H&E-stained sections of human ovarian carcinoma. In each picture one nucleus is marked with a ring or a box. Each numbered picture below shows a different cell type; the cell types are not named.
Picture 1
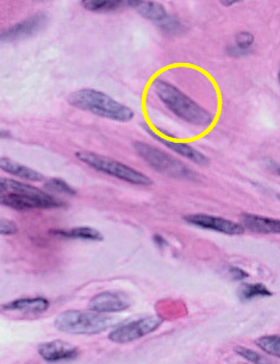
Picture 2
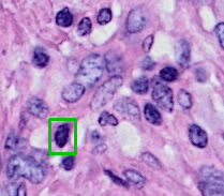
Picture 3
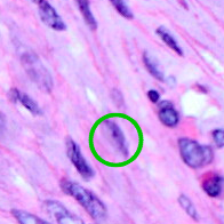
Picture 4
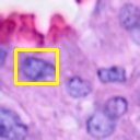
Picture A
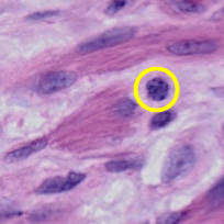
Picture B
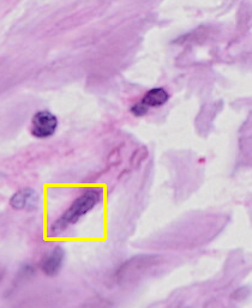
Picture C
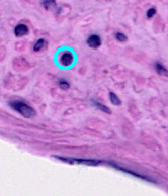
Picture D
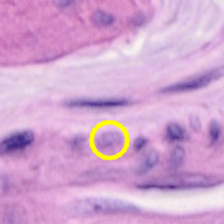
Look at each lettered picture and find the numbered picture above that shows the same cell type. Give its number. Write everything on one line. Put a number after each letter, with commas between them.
A 2, B 4, C 1, D 1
